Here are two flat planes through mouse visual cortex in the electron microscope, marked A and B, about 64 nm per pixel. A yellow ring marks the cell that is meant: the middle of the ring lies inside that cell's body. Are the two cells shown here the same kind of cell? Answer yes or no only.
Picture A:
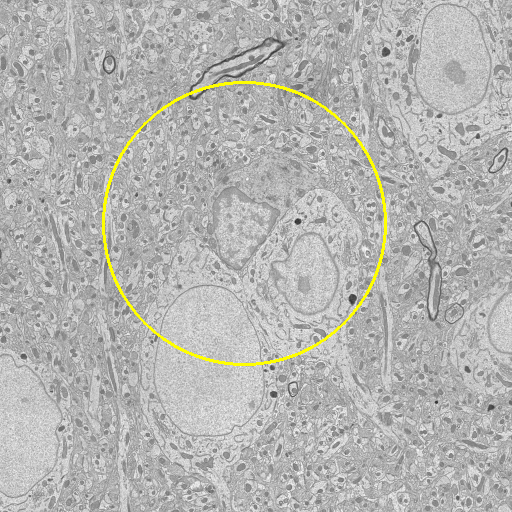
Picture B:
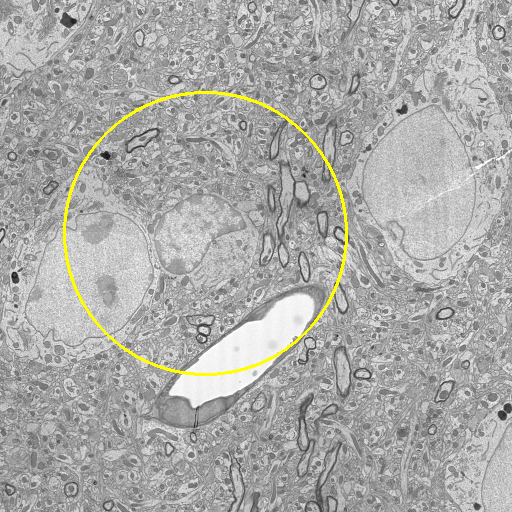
yes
